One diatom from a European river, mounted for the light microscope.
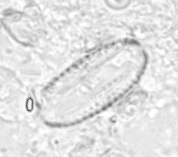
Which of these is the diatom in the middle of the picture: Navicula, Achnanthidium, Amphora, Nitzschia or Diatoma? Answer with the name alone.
Amphora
